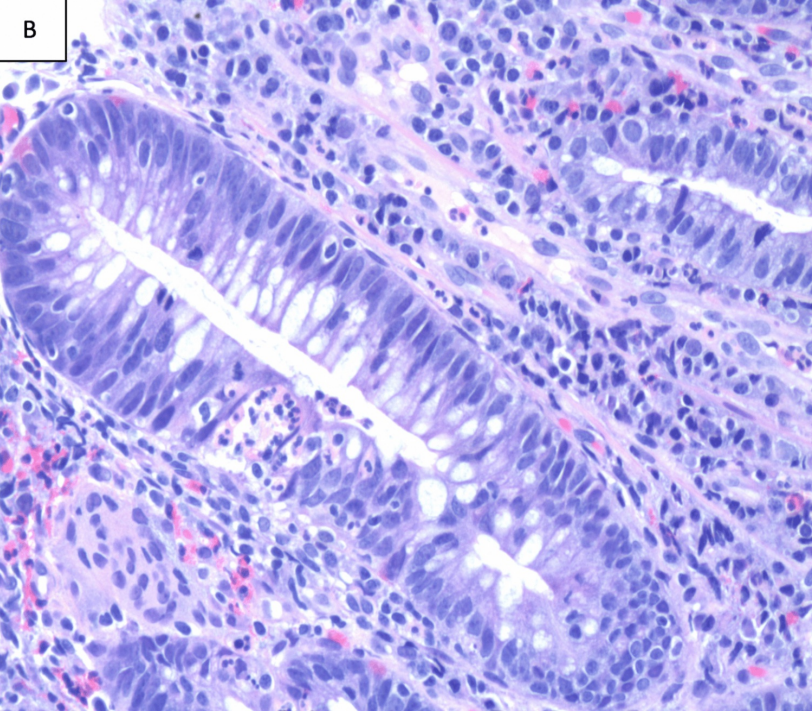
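Colonic crypts lined by tall columnar cells with elongated, crowded purple nuclei and clear mucin vacuoles of goblet cells facing a narrow lumen. The lamina propria around them holds many lymphocytes and plasma cells with eccentric round nuclei, and scattered red blood cells.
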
